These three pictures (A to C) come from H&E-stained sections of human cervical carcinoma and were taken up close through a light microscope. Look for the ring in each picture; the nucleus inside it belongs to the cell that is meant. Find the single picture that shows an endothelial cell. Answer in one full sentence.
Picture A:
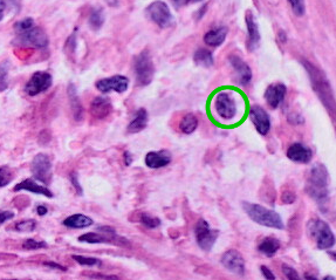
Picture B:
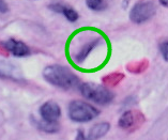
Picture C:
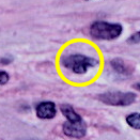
The endothelial cell is the one in picture B.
